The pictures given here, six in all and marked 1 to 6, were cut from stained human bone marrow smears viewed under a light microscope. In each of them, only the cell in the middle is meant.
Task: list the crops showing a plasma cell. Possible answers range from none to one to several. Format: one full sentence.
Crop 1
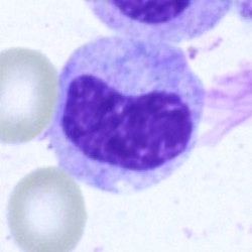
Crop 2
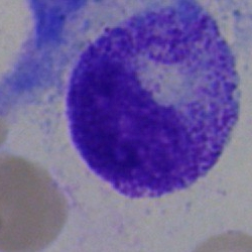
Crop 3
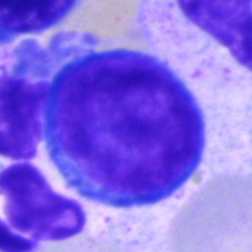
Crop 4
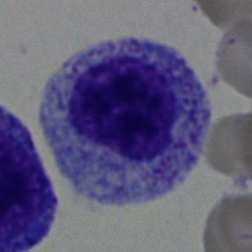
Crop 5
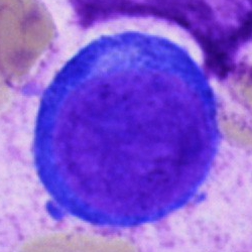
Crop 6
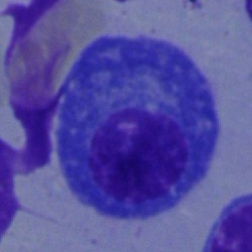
It is crop 6 that shows a plasma cell; the other crops do not.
